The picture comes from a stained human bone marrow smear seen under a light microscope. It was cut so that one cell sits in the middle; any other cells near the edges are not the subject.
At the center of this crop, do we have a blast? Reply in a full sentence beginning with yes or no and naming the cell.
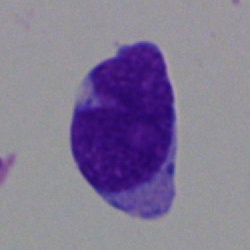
Yes, the cell found at the centre of the crop is a blast.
